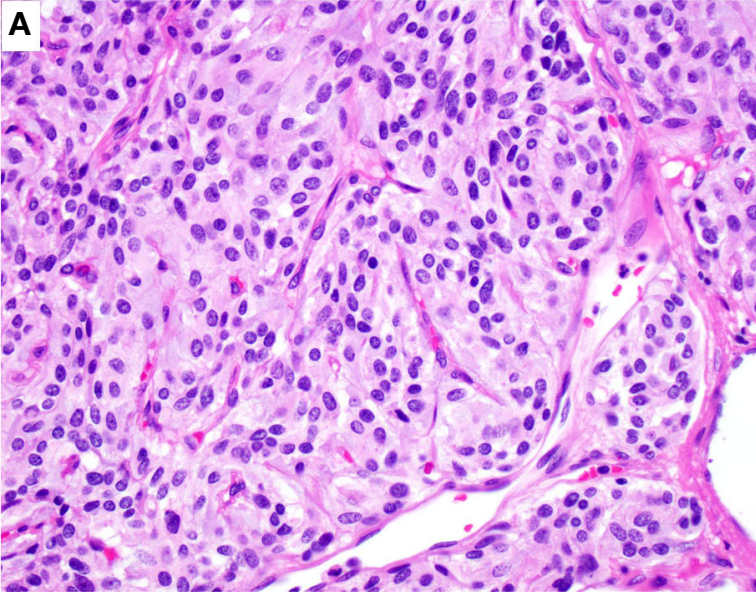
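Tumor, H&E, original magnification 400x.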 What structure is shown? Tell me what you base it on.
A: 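Tumor cells are grouped in rounded to irregular clusters. The clusters are separated by thin pink septa. The answer: irregular nests.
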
